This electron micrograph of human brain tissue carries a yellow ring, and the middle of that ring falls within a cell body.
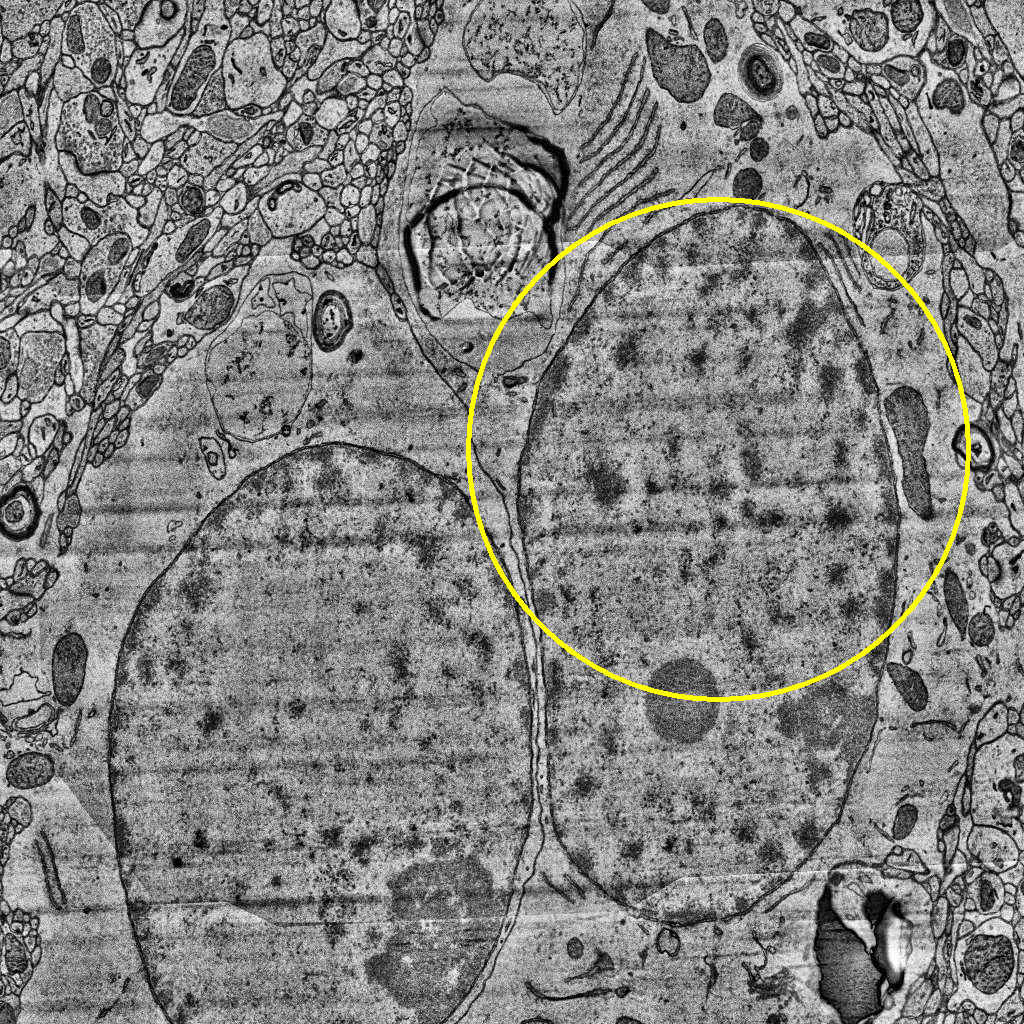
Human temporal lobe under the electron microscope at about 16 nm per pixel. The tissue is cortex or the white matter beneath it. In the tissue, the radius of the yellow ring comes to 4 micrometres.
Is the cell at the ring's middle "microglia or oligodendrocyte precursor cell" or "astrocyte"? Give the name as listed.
astrocyte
